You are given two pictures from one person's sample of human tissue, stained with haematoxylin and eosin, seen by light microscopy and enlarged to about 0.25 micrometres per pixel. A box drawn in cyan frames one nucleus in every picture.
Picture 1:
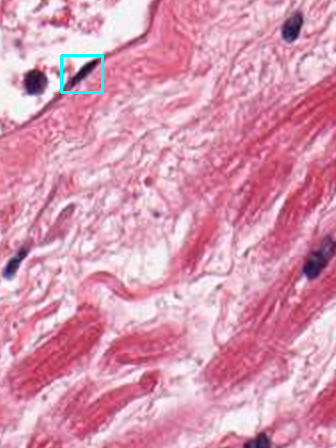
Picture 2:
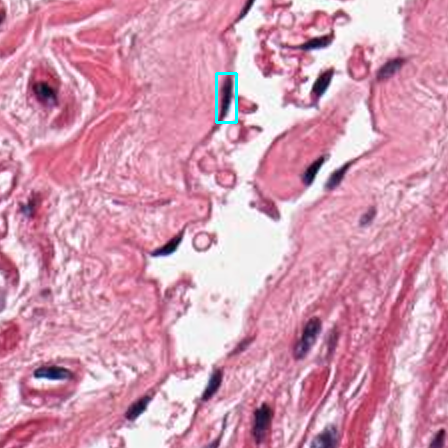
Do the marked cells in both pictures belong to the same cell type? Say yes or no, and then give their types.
Yes, both are endothelial cells.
